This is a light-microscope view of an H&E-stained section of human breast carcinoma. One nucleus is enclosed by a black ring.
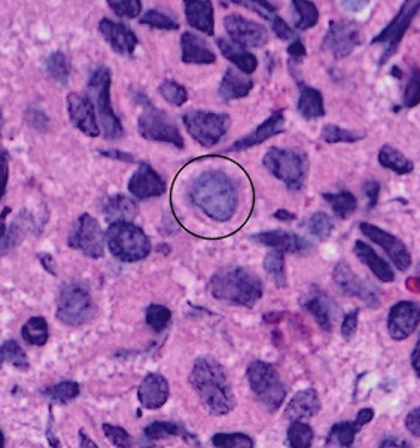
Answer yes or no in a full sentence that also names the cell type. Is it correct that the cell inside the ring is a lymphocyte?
No, the cell inside the ring is a carcinoma cell; calling it a lymphocyte would be wrong.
